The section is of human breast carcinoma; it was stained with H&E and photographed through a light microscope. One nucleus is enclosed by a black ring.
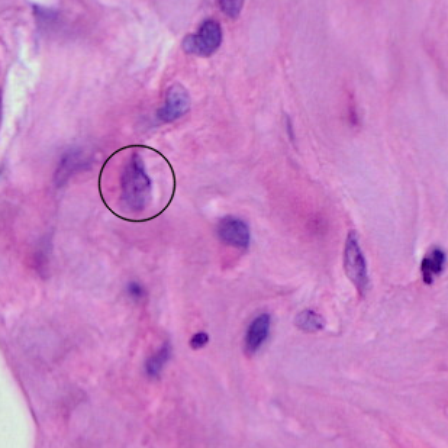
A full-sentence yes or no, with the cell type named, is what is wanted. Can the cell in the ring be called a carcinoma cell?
No, the cell in the ring is correctly named a fibroblast; it is not a carcinoma cell.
